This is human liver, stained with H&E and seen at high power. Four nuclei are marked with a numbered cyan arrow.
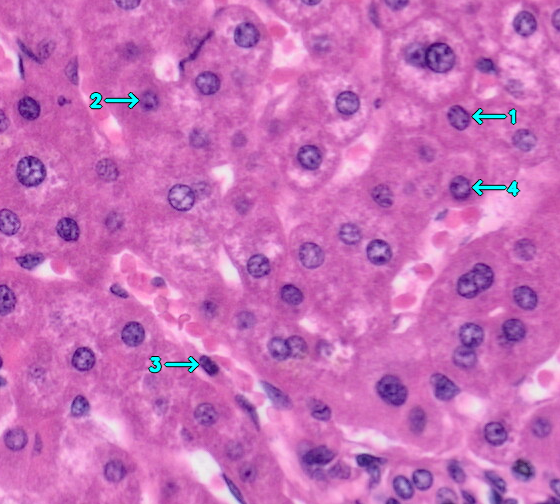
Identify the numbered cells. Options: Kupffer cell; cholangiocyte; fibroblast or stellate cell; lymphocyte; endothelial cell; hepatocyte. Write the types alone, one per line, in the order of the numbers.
hepatocyte
hepatocyte
Kupffer cell
hepatocyte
